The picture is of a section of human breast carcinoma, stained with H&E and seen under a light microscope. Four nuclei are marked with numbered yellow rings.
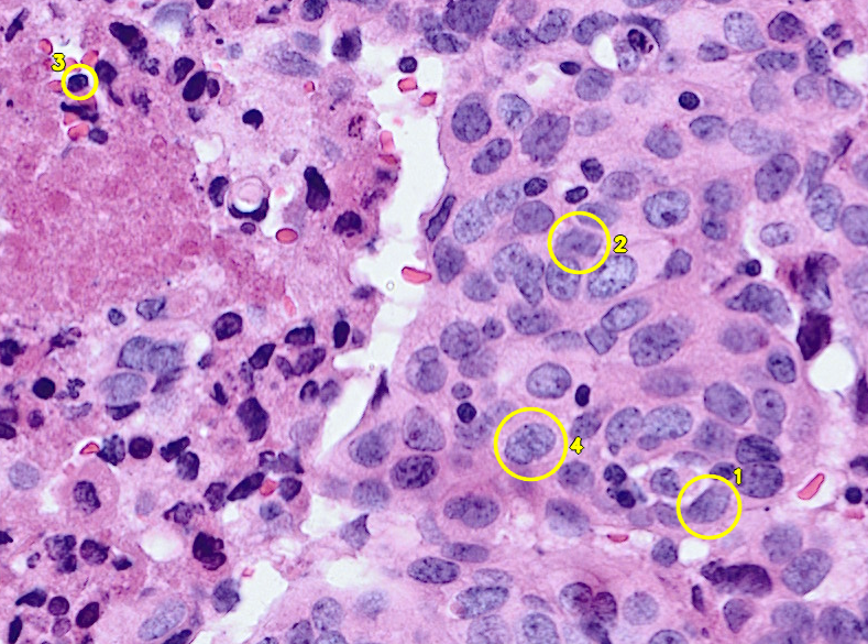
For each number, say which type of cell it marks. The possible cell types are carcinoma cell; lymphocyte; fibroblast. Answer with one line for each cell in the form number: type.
1: carcinoma cell
2: carcinoma cell
3: lymphocyte
4: carcinoma cell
